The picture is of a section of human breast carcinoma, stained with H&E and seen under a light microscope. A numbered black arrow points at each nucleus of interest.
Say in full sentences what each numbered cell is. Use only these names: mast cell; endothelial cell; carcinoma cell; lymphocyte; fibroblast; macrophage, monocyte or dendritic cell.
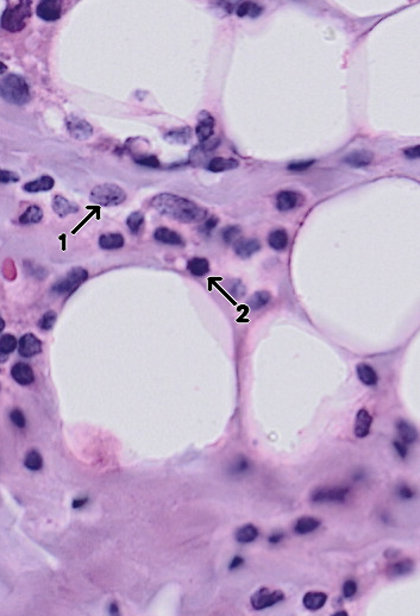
Cell 1 is a macrophage, monocyte or dendritic cell and cell 2 is a lymphocyte.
